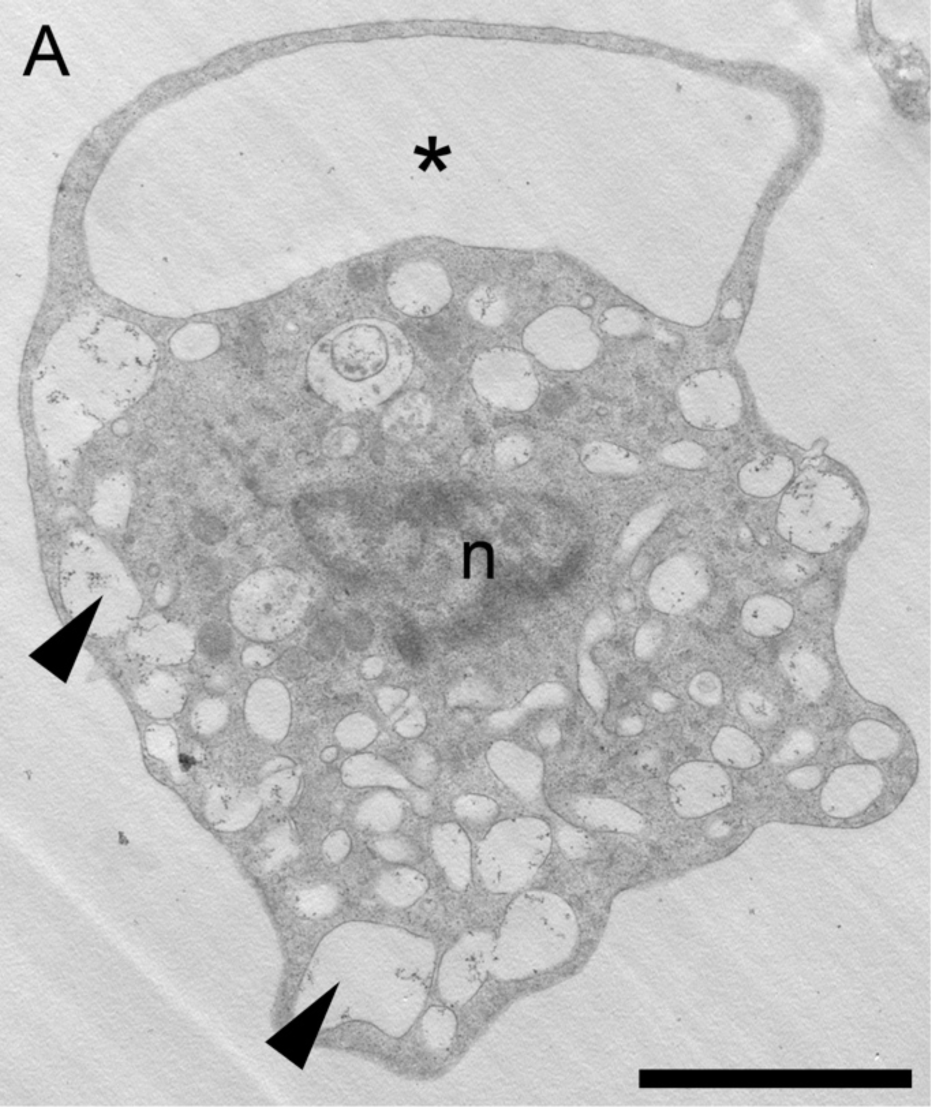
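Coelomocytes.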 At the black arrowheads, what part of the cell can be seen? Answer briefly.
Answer: roundish electron-lucent vesicles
